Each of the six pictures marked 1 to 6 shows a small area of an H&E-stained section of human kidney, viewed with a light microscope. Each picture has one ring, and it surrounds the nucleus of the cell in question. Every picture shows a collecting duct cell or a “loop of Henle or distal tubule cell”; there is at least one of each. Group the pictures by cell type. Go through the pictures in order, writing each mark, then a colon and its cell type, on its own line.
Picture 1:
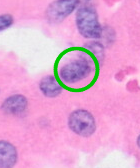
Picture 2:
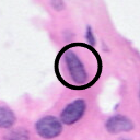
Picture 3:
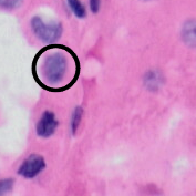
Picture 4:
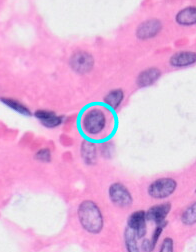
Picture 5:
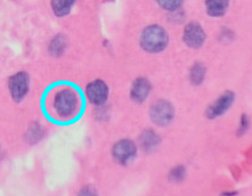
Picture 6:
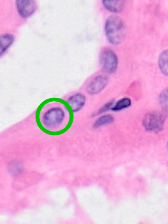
1: collecting duct cell
2: collecting duct cell
3: loop of Henle or distal tubule cell
4: collecting duct cell
5: loop of Henle or distal tubule cell
6: collecting duct cell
